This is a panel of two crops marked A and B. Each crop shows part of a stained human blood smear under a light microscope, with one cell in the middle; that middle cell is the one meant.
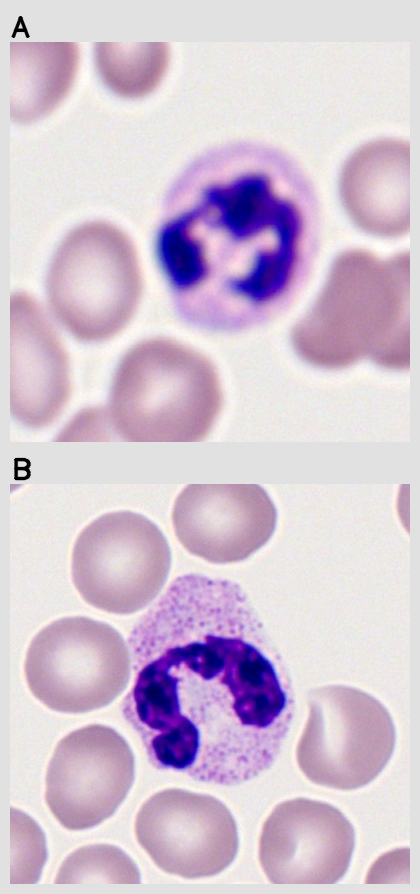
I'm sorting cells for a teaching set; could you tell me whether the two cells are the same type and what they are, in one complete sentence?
Yes, in both of the crops, the central cells are segmented neutrophils.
